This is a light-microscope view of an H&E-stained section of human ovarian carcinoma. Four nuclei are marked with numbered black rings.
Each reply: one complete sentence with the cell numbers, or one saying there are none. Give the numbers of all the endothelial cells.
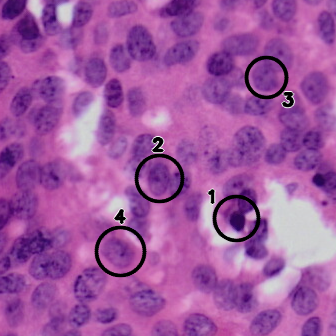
The only cell among those numbered to be an endothelial cell is number 4.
